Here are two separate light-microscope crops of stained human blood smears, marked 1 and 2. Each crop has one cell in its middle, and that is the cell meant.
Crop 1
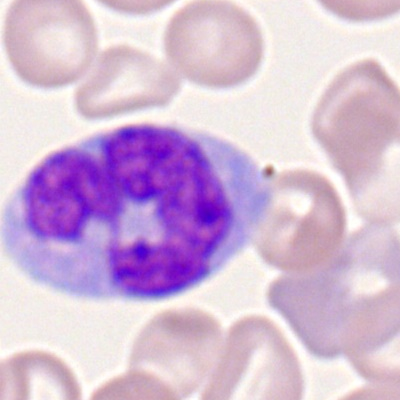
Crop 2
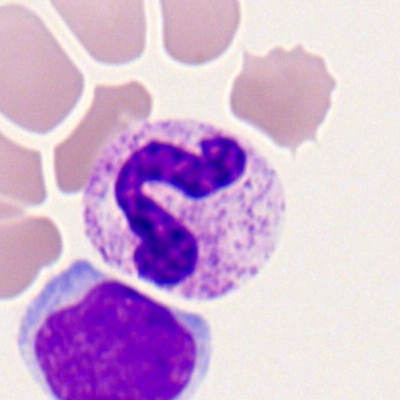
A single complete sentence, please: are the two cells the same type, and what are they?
No, for crop 1 the cell is a monocyte, and for crop 2 it is a neutrophil.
